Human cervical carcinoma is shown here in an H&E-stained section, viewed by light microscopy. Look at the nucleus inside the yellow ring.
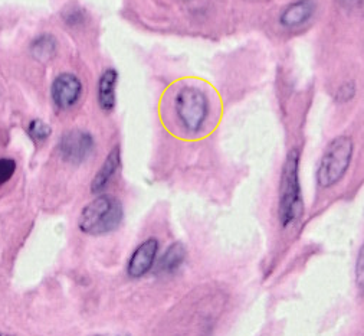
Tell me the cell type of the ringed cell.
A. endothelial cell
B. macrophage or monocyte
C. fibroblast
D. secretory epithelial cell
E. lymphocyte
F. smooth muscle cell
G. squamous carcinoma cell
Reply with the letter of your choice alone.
G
